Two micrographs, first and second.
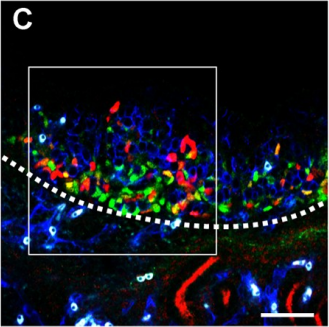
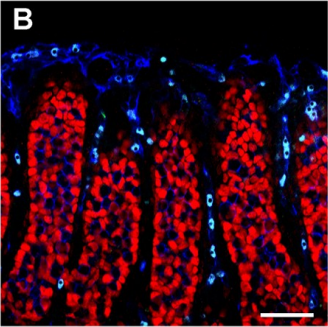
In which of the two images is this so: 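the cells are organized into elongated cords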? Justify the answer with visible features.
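First image: red and green nuclei scattered without cord structure. Second image: red nuclei packed into parallel elongated cords separated by interstitium. On this evidence: the second image.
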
